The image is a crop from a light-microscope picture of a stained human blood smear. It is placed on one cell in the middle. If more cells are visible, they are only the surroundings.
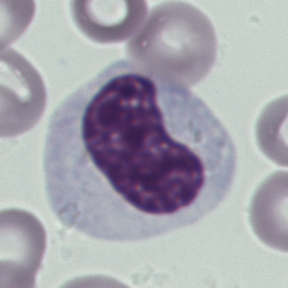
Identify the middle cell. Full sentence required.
The cell around which this crop is centred is a band neutrophil.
